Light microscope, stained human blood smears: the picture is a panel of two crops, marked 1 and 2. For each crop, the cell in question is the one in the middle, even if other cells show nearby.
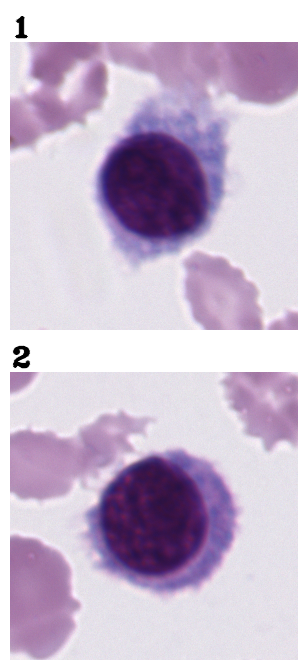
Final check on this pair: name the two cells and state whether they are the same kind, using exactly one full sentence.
Yes, as shown in both crops, the central cells are hairy cells.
